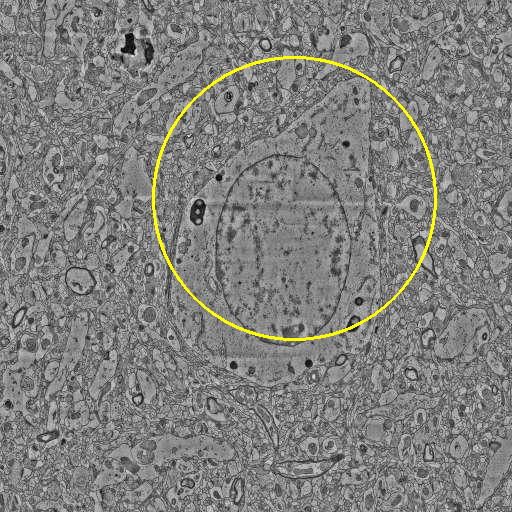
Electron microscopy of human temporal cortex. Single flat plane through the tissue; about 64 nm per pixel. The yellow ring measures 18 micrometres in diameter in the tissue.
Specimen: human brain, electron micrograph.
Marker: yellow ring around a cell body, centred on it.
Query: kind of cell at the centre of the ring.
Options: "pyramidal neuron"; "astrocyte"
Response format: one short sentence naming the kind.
This cell body belongs to a pyramidal neuron.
